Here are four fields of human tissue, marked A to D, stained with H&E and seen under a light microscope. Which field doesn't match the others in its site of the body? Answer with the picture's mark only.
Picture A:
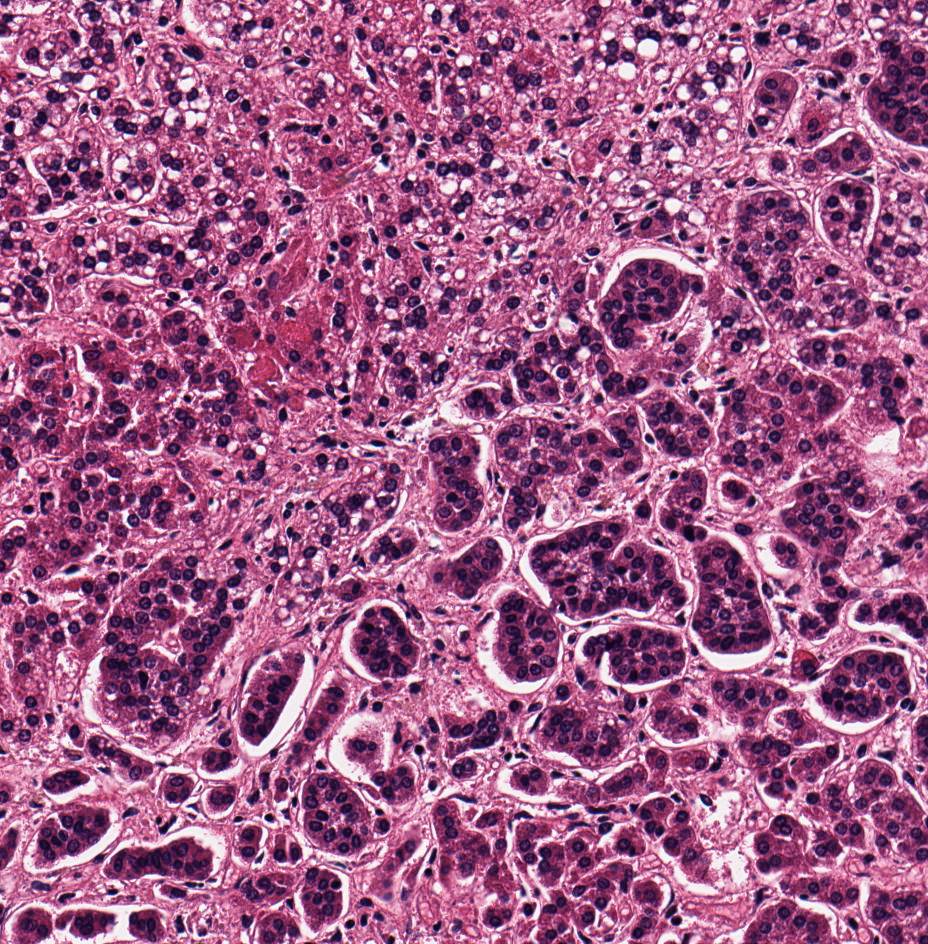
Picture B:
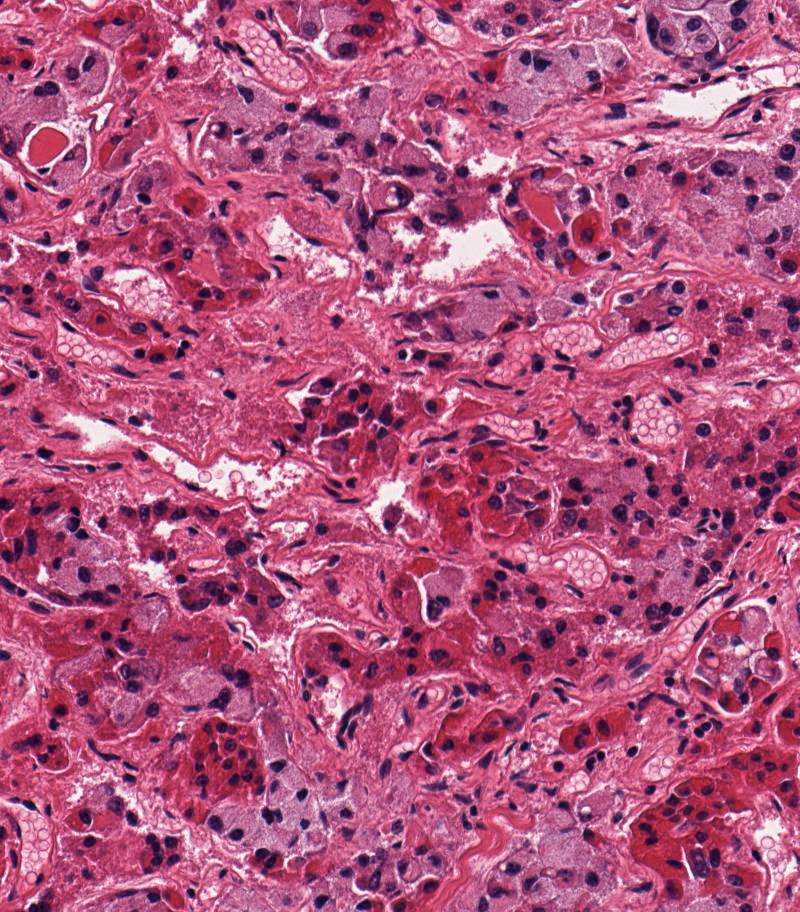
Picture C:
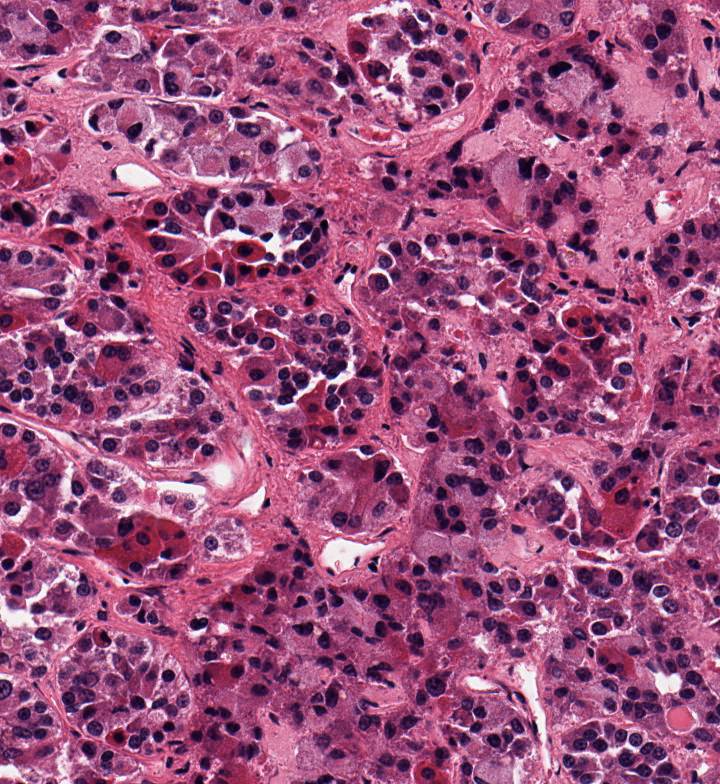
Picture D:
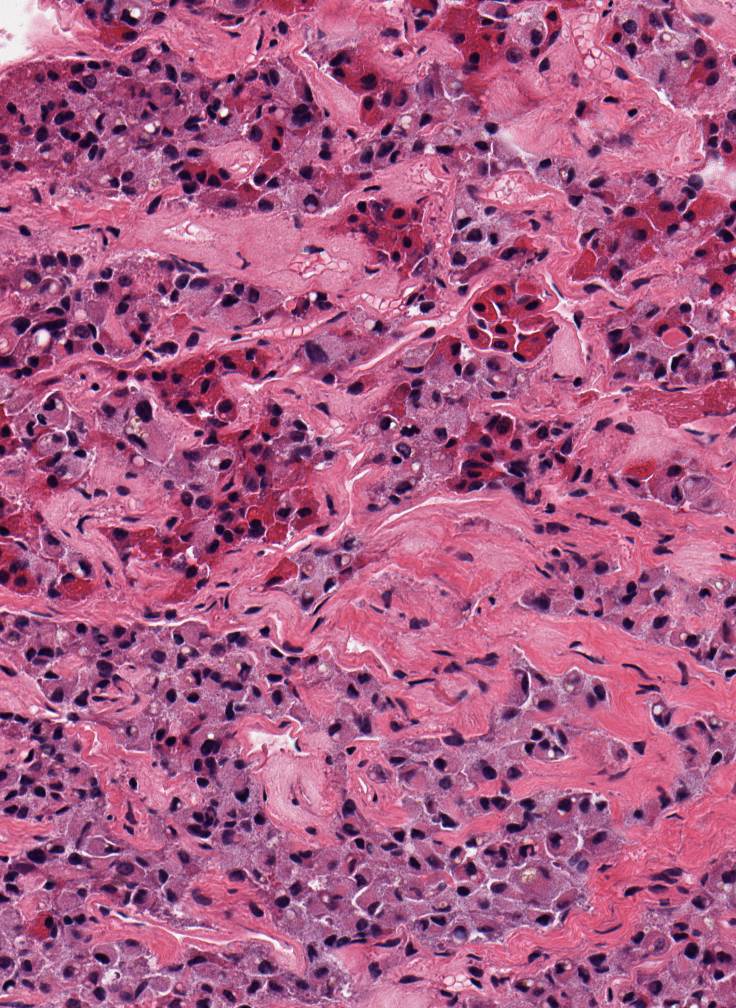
A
